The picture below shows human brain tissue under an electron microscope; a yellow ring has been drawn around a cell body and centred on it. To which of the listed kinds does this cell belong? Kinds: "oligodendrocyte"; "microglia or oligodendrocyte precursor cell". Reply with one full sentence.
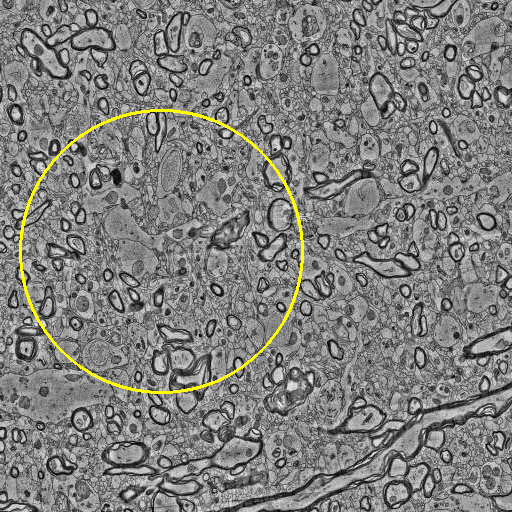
It is an oligodendrocyte that the yellow ring in the picture is centred on.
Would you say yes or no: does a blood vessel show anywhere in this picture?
No.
